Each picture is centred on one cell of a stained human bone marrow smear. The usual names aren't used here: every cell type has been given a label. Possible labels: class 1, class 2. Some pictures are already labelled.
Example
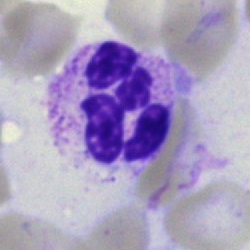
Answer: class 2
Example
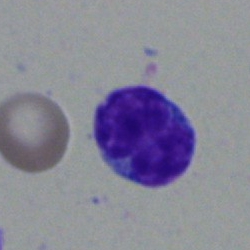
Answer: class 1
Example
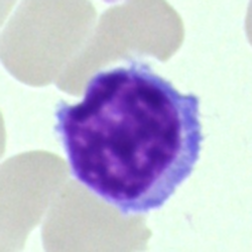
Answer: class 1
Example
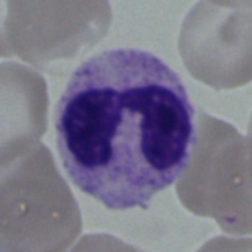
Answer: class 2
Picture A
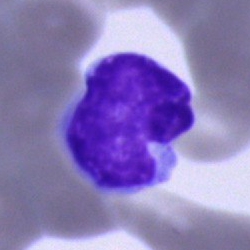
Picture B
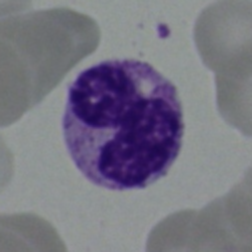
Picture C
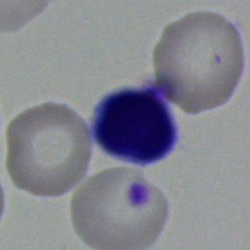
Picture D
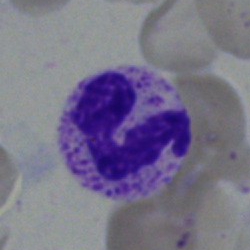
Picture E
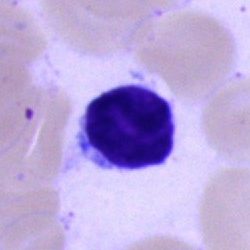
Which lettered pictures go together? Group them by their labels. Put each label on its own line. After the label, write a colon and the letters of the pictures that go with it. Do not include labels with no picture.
class 1: A, C, E
class 2: B, D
